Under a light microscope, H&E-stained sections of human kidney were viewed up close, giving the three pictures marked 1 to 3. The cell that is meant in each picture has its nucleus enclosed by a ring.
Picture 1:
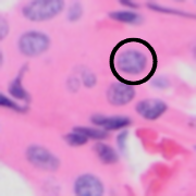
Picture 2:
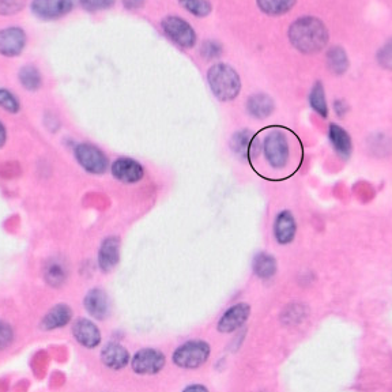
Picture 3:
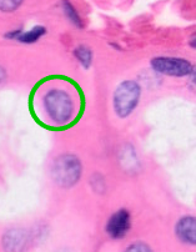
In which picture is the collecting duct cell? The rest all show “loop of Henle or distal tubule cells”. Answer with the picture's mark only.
2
